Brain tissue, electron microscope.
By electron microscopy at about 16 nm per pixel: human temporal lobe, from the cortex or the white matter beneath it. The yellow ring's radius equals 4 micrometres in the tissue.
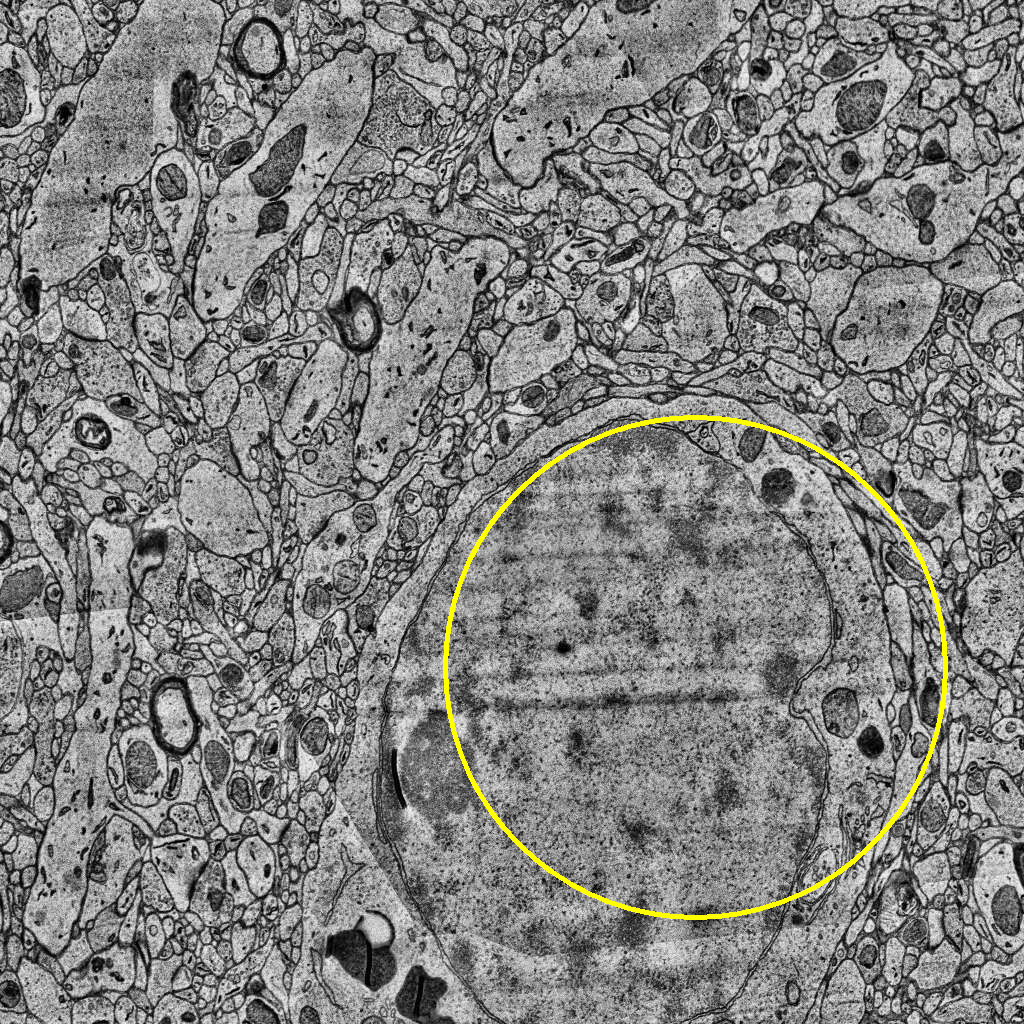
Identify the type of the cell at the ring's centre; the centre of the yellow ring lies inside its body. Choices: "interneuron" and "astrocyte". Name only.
interneuron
